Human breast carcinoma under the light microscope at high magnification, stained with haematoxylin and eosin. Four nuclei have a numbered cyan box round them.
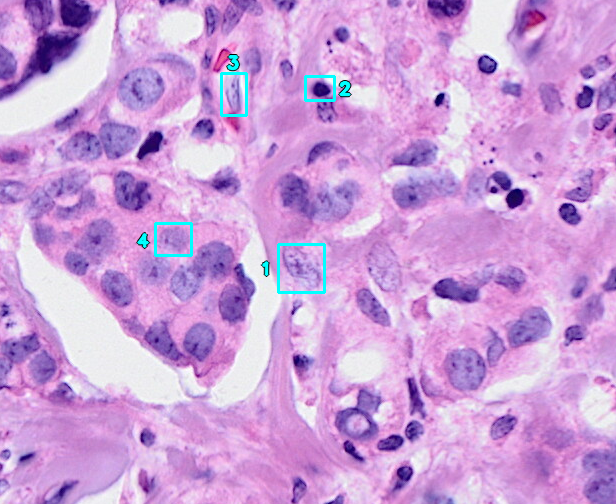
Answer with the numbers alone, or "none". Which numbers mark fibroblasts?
1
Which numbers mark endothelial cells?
3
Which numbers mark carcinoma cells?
4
